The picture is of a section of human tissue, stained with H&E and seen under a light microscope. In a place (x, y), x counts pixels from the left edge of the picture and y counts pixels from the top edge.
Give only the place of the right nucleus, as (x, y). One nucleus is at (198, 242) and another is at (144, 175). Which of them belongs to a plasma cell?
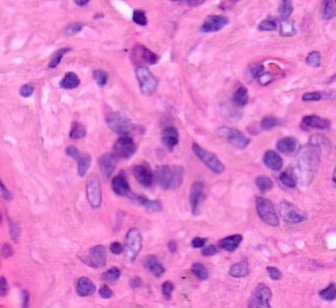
(144, 175)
